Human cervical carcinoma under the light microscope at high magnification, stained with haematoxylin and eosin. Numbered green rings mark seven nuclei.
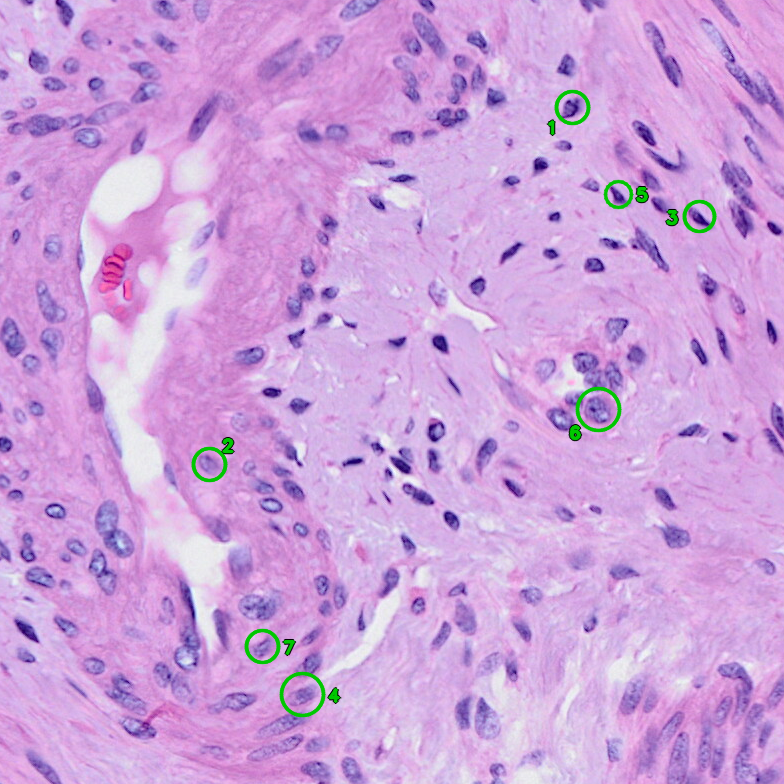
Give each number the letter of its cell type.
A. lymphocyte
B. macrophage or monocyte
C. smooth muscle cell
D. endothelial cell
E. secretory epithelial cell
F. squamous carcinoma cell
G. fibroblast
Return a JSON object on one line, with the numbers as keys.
{"1": "G", "2": "C", "3": "G", "4": "C", "5": "G", "6": "D", "7": "C"}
